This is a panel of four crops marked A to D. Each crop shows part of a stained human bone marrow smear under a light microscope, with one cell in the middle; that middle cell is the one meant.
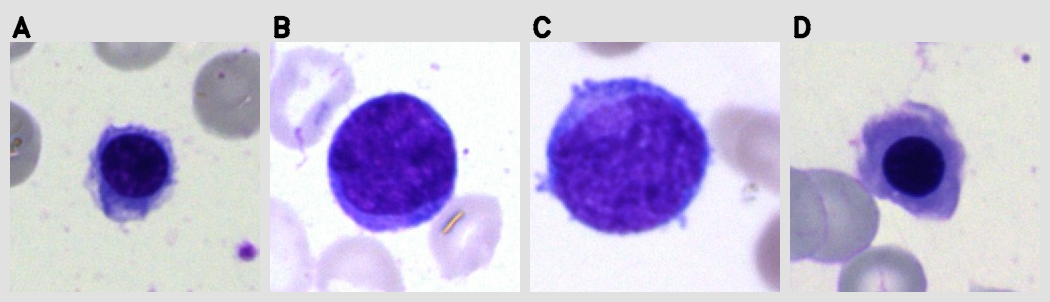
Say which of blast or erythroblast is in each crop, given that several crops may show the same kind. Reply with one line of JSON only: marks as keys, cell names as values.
{"A": "erythroblast", "B": "blast", "C": "blast", "D": "erythroblast"}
